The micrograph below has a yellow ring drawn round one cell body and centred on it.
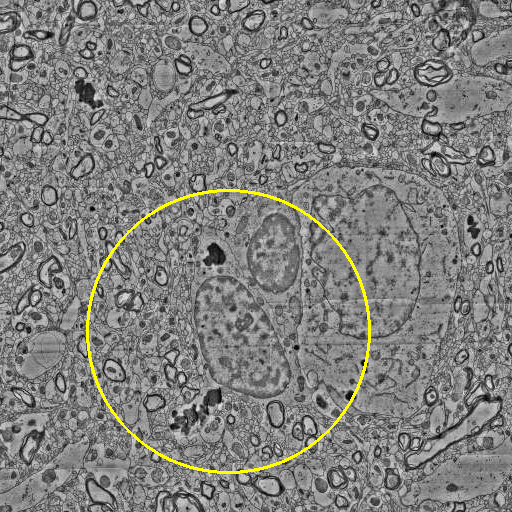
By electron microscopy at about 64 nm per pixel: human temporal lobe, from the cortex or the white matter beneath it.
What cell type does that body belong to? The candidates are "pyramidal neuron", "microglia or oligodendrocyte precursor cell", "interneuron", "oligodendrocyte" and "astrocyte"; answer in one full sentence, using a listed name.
This is an oligodendrocyte, the cell whose body lies at the centre of the ring.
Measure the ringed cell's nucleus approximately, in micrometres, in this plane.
About 9 by 5 micrometers in this plane, so the nucleus is clearly longer than it is wide.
